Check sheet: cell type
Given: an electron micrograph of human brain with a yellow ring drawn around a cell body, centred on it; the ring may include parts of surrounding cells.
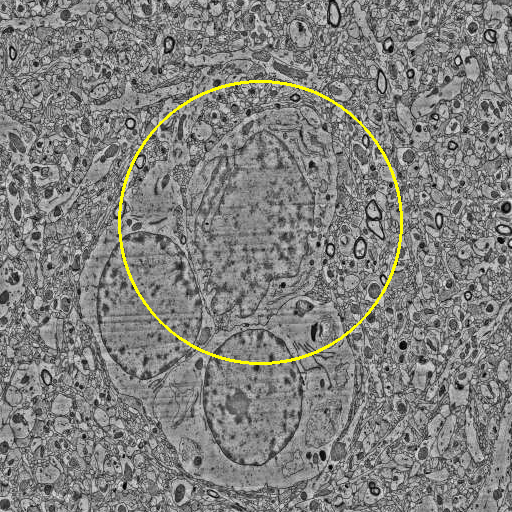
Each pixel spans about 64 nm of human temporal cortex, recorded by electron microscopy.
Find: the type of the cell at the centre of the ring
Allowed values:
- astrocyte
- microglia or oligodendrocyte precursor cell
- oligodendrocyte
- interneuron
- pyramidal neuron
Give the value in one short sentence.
Here the ringed cell is an interneuron.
